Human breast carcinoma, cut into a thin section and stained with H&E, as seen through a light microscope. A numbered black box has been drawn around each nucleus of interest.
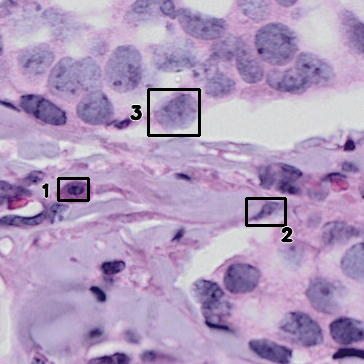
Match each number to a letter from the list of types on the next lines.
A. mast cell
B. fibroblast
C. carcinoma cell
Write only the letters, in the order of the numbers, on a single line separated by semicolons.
A; B; C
